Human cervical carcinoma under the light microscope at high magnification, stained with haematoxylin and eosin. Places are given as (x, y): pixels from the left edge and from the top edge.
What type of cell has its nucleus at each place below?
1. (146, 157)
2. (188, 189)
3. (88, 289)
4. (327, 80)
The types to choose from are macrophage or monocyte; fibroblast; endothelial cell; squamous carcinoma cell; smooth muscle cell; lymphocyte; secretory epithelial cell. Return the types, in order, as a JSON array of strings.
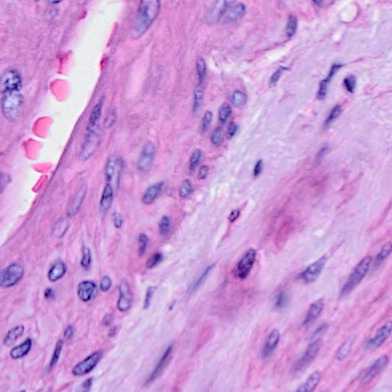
["smooth muscle cell", "smooth muscle cell", "smooth muscle cell", "fibroblast"]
